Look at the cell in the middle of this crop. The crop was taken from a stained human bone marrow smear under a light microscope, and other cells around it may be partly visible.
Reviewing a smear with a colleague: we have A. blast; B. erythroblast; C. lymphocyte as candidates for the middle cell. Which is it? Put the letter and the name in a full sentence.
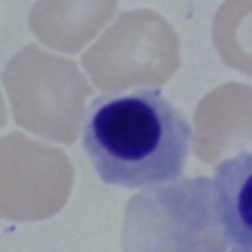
Option B is accurate; the centrally placed cell is an erythroblast.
